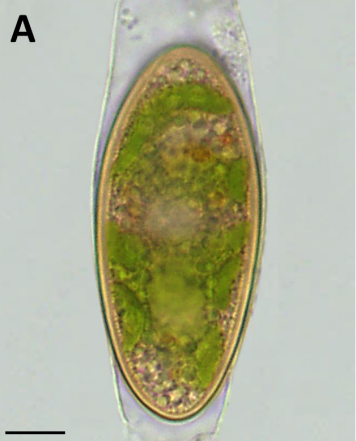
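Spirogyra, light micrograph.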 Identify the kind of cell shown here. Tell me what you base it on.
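An oval body with a thick, layered yellow-brown wall lies inside a cylindrical filament cell. The oval body is filled with green and granular contents. That points to this answer: zygospores.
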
